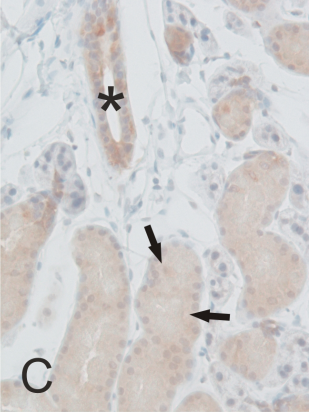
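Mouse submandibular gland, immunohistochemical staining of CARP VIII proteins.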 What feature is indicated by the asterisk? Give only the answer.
Ducts.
